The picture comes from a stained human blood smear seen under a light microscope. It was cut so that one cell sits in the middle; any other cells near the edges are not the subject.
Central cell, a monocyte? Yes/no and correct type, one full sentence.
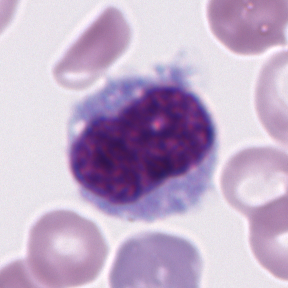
Yes, the identity of the central cell is that of a monocyte.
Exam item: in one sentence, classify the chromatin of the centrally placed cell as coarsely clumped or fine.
The nucleus shows chromatin that is coarsely clumped.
